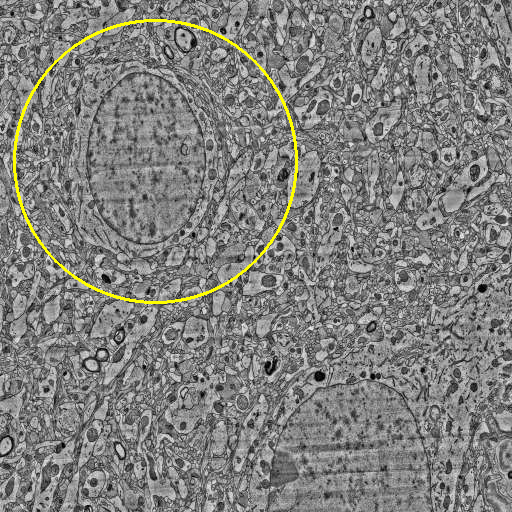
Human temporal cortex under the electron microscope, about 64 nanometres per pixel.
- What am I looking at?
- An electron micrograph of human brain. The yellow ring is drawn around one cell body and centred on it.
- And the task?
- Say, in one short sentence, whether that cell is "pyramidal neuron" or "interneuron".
The cell in the middle of the ring is a pyramidal neuron.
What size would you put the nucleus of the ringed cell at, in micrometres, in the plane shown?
The nucleus is approximately 11 micrometers long by 8 micrometers wide in this plane.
